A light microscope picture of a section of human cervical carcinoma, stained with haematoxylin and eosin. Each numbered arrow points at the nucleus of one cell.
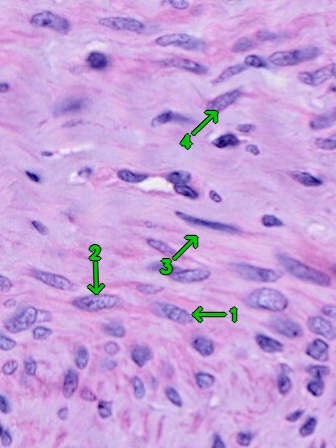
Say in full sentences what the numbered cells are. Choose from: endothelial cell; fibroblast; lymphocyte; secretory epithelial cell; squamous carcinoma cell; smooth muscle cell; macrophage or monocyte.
Cell 1 is a smooth muscle cell, cell 2 is a smooth muscle cell, cell 3 is a fibroblast and cell 4 is a smooth muscle cell.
